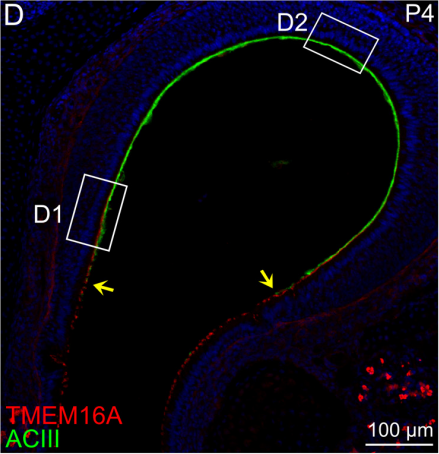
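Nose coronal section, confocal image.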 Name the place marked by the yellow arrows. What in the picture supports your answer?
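The transition between olfactory and respiratory epithelium. The bright green line along the luminal surface stops near the arrows. Beyond the arrows the lining carries only a faint, dotted red line.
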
